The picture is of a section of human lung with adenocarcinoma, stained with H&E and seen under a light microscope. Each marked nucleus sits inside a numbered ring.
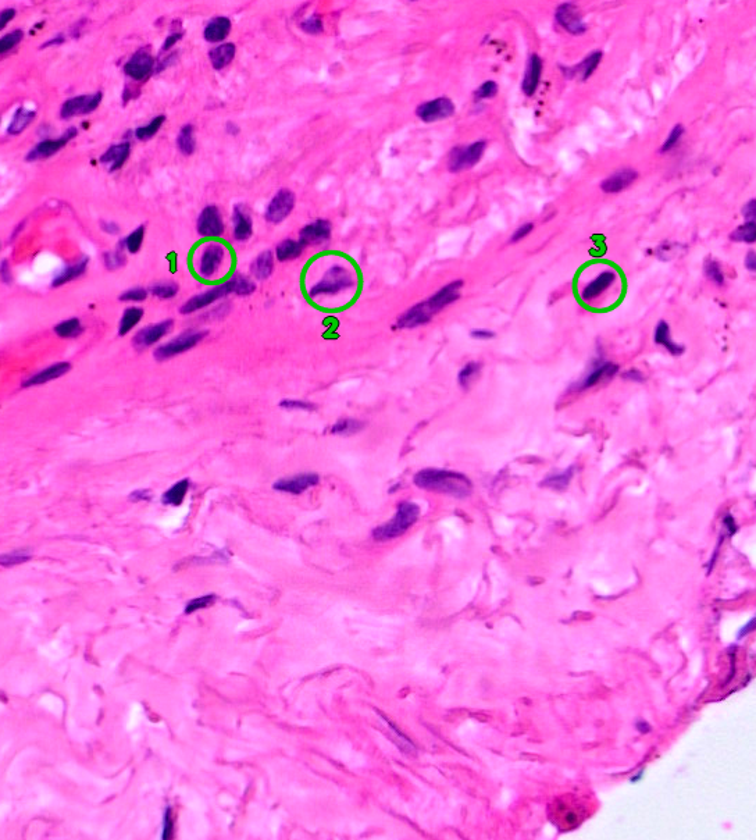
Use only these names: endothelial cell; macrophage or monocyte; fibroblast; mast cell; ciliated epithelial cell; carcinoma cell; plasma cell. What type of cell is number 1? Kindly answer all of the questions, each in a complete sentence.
Number 1 among the marked cells is a plasma cell.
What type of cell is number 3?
The cell tagged with 3 in this tissue section is a mast cell.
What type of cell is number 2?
Cell 2 in the field is a fibroblast.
